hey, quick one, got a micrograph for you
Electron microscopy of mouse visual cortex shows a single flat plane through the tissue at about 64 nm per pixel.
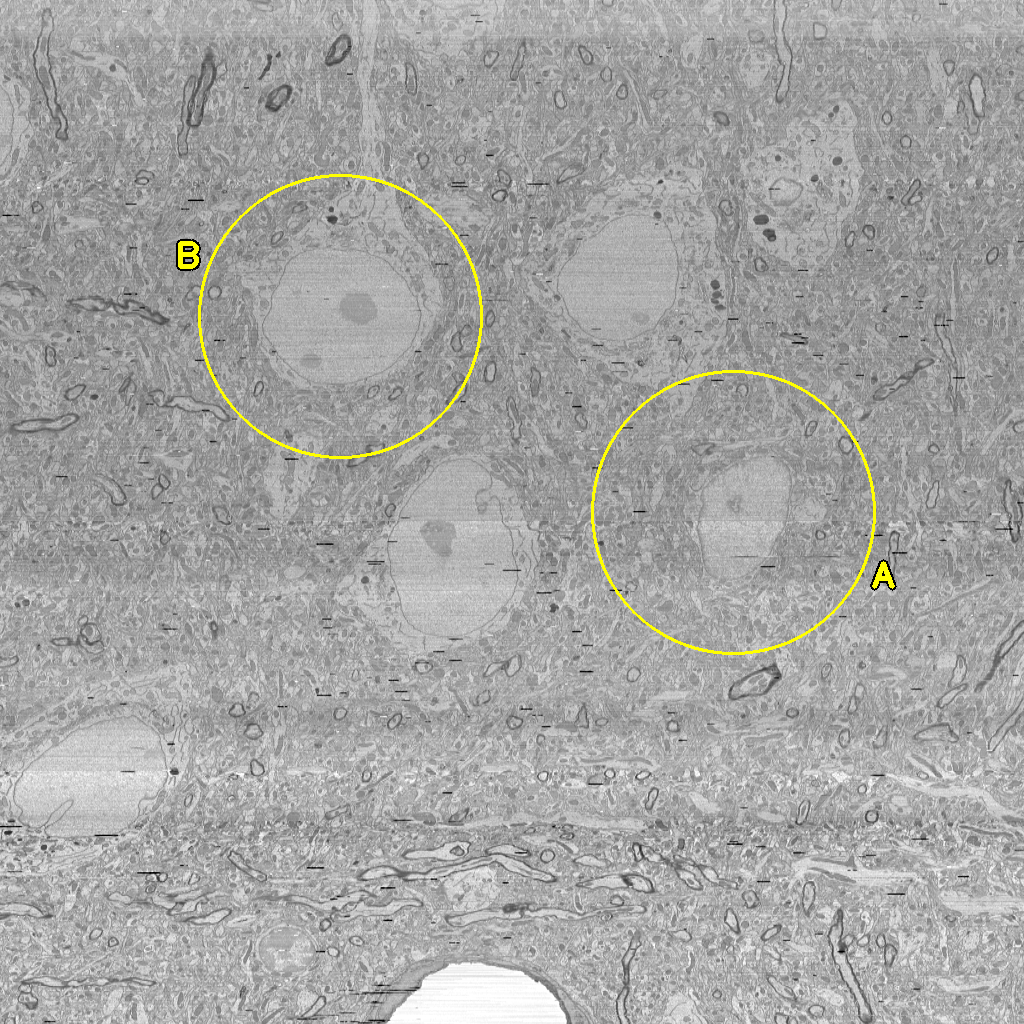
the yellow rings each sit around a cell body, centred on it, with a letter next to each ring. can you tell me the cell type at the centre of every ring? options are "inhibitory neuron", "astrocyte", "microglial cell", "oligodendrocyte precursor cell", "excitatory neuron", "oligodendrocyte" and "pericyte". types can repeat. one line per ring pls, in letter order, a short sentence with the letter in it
Ring A goes around an astrocyte.
Ring B goes around an excitatory neuron.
